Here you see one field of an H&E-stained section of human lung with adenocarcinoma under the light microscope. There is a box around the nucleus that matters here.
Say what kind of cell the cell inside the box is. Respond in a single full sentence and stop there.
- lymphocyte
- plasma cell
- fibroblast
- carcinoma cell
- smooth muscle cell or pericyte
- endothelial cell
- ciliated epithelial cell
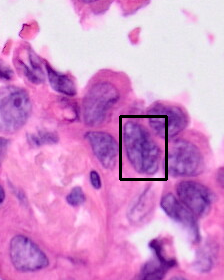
In this tissue sample, the cell inside the box is a carcinoma cell.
